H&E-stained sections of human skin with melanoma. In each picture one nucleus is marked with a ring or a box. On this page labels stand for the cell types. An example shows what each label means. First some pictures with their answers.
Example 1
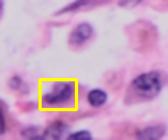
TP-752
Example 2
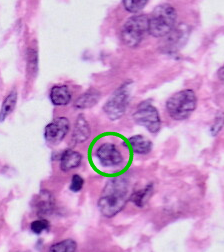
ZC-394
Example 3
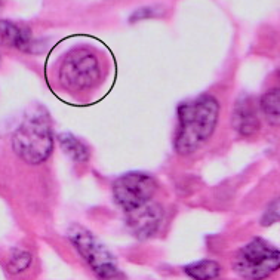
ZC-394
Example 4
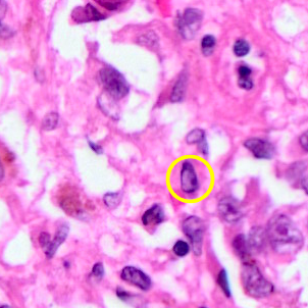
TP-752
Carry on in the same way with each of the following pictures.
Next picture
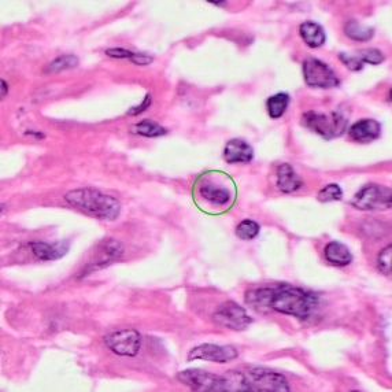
TP-752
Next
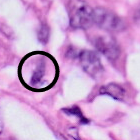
ZC-394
